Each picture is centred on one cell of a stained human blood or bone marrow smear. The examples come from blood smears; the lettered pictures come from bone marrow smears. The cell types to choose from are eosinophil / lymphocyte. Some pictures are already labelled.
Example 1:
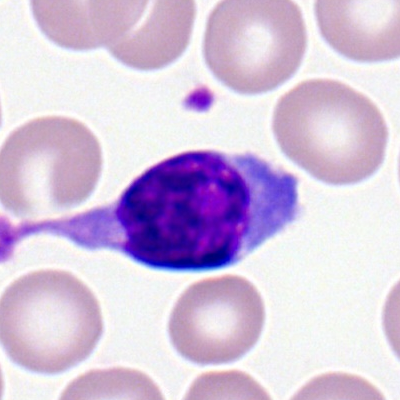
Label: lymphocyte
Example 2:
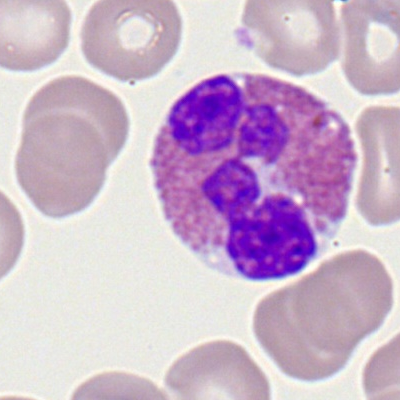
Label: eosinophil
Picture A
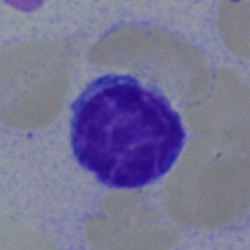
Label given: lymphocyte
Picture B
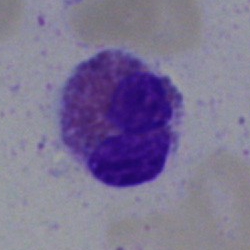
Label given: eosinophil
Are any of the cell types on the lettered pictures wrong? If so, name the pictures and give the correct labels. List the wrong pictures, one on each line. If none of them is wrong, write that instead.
No label is wrong.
